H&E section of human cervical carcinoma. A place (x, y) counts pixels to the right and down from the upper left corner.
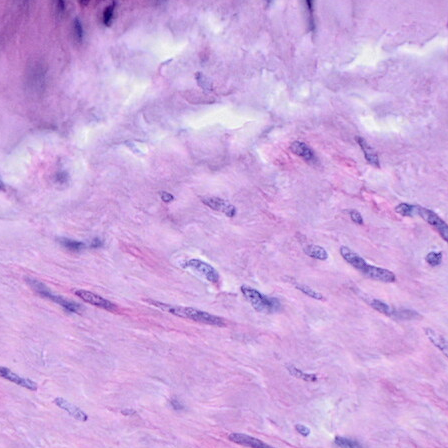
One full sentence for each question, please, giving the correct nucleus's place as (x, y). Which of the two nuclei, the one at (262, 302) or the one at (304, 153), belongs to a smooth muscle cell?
Of the two nuclei, the one at (304, 153) belongs to a smooth muscle cell.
